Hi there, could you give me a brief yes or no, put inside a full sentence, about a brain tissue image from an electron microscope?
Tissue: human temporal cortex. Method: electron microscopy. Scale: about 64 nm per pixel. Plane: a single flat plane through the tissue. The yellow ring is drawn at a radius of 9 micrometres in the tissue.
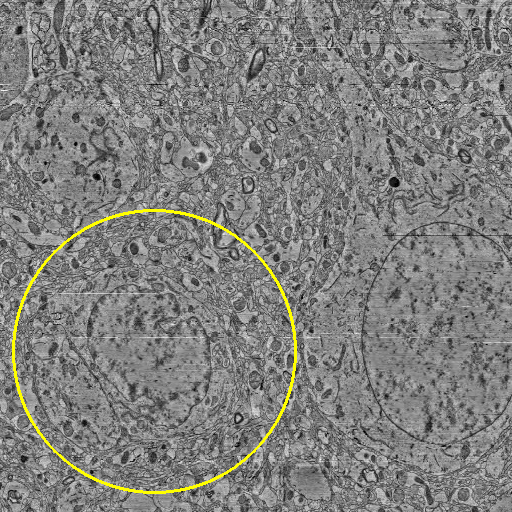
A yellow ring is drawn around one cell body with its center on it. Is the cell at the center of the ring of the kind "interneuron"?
Yes, the cell found at the center of the yellow ring is of that kind.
